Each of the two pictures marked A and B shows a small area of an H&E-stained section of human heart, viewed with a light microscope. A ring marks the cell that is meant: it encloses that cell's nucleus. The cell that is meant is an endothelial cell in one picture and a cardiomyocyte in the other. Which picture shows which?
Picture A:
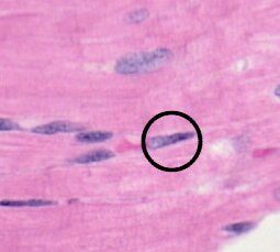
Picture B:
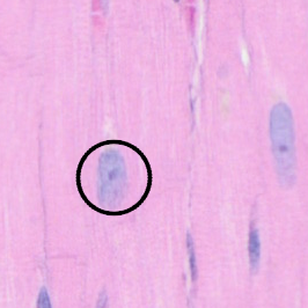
A: endothelial cell
B: cardiomyocyte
